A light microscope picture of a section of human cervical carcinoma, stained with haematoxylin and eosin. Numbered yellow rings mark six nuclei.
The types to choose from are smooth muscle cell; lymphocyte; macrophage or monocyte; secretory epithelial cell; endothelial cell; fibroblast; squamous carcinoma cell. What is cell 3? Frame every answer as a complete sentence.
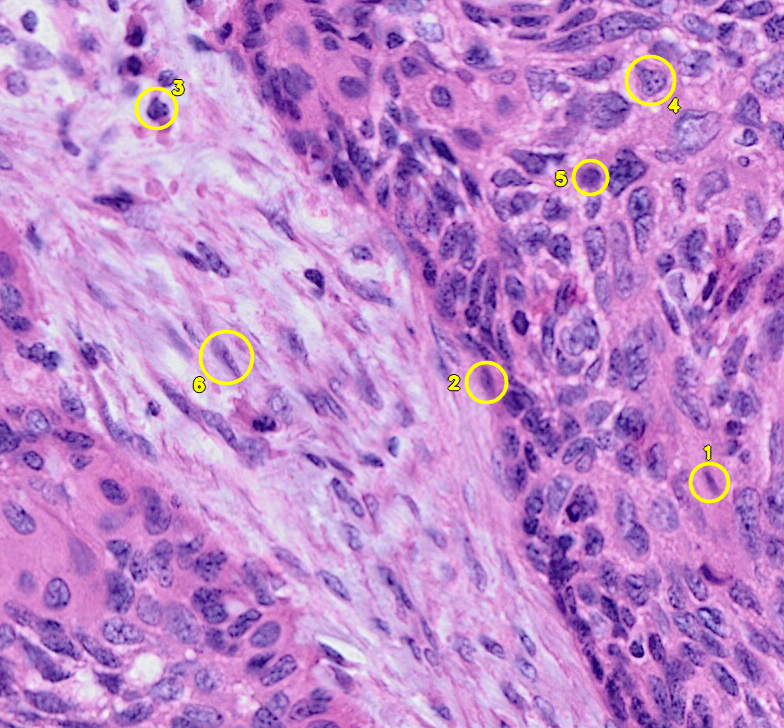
At number 3, the marked cell is a lymphocyte.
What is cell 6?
The marked cell with the number 6 is recognised as a fibroblast.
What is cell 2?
The cell that goes by number 2 is a squamous carcinoma cell.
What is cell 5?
The cell pointed out as number 5 is a squamous carcinoma cell.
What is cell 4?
The cell that carries the label 4 is a squamous carcinoma cell.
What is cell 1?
Identified as a squamous carcinoma cell is the cell bearing the number 1.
